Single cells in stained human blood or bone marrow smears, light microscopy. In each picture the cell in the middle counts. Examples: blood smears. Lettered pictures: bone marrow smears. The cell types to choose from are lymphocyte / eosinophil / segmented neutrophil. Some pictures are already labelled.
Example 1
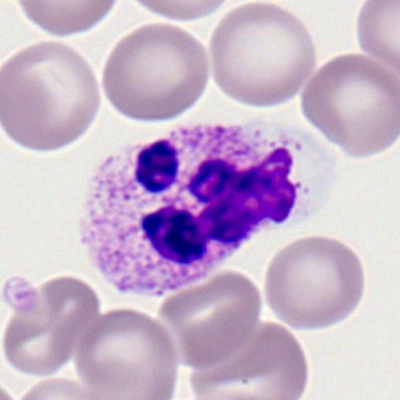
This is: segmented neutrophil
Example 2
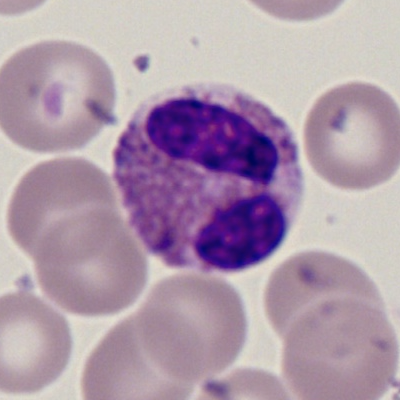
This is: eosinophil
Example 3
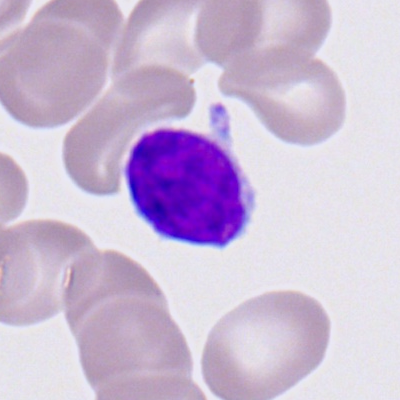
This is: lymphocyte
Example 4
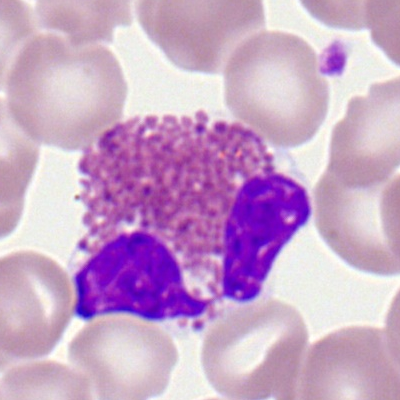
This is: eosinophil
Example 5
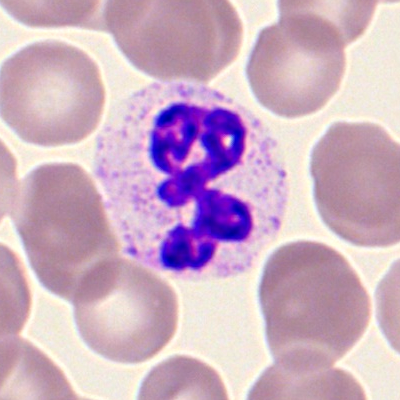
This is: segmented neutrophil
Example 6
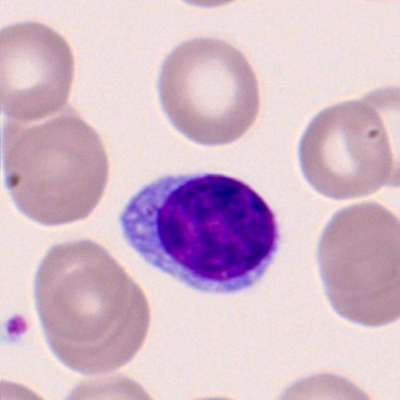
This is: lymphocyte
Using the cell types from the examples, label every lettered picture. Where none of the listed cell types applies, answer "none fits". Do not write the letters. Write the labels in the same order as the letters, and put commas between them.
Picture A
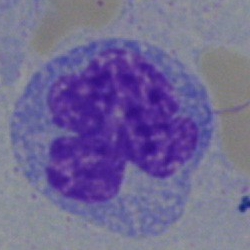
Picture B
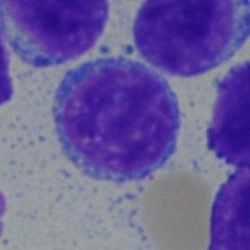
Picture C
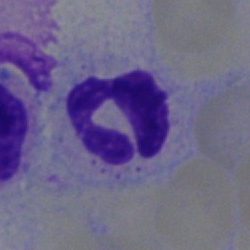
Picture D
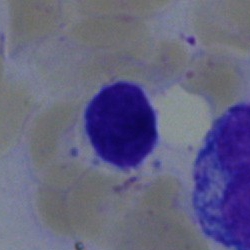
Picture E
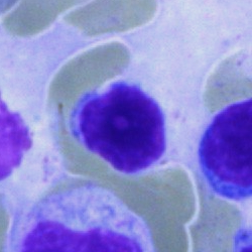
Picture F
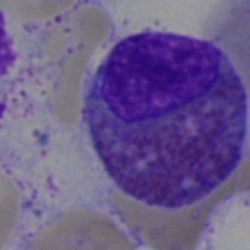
none fits, lymphocyte, segmented neutrophil, lymphocyte, lymphocyte, eosinophil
